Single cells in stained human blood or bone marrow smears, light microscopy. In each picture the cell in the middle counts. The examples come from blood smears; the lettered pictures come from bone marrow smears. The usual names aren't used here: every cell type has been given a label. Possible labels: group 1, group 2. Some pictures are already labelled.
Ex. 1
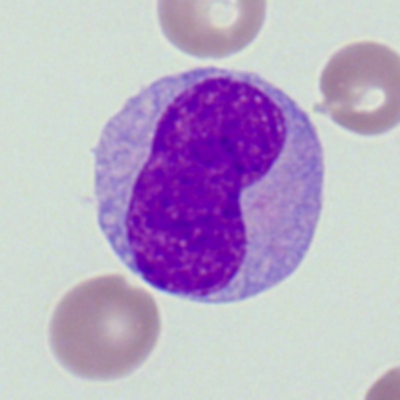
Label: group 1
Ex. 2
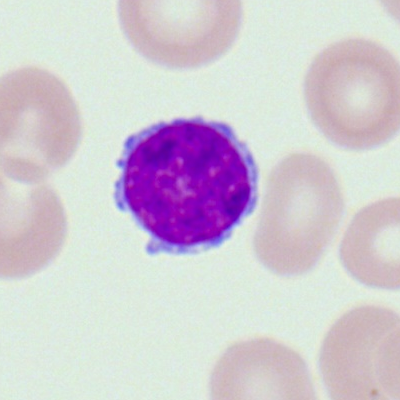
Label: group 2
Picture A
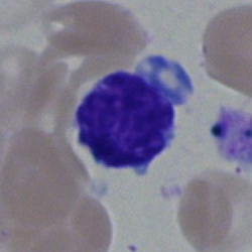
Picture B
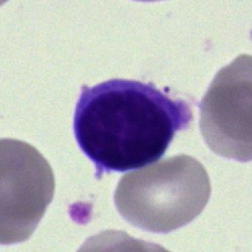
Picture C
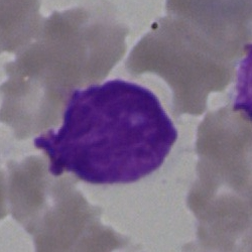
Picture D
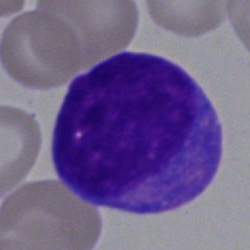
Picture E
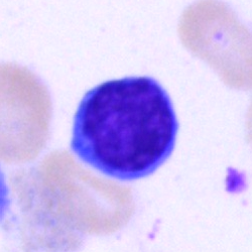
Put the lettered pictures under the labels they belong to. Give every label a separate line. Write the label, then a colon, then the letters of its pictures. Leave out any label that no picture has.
group 1: D
group 2: A, B, C, E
